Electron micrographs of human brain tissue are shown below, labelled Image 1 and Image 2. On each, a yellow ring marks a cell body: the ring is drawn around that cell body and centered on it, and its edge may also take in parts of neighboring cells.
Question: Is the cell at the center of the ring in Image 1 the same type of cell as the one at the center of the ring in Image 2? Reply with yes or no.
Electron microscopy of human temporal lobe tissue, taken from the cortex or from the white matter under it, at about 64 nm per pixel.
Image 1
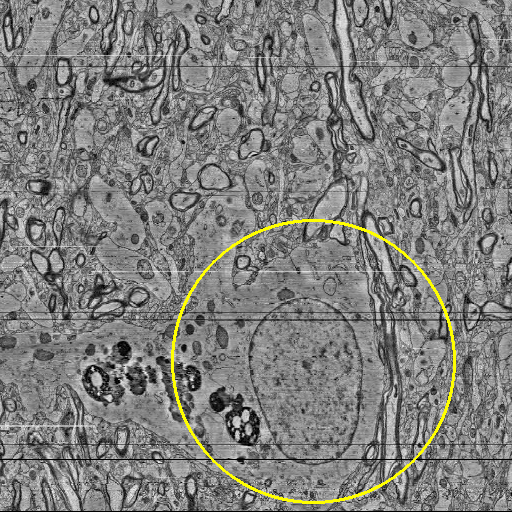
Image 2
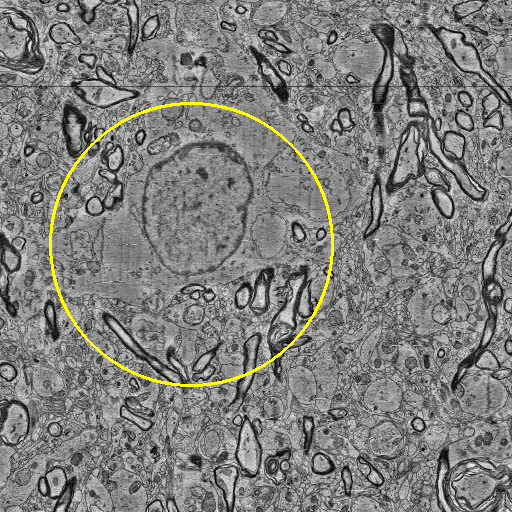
yes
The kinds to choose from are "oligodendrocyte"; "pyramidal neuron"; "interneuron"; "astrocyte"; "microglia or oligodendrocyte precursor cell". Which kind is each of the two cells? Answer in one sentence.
Each of the two cells is an astrocyte.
